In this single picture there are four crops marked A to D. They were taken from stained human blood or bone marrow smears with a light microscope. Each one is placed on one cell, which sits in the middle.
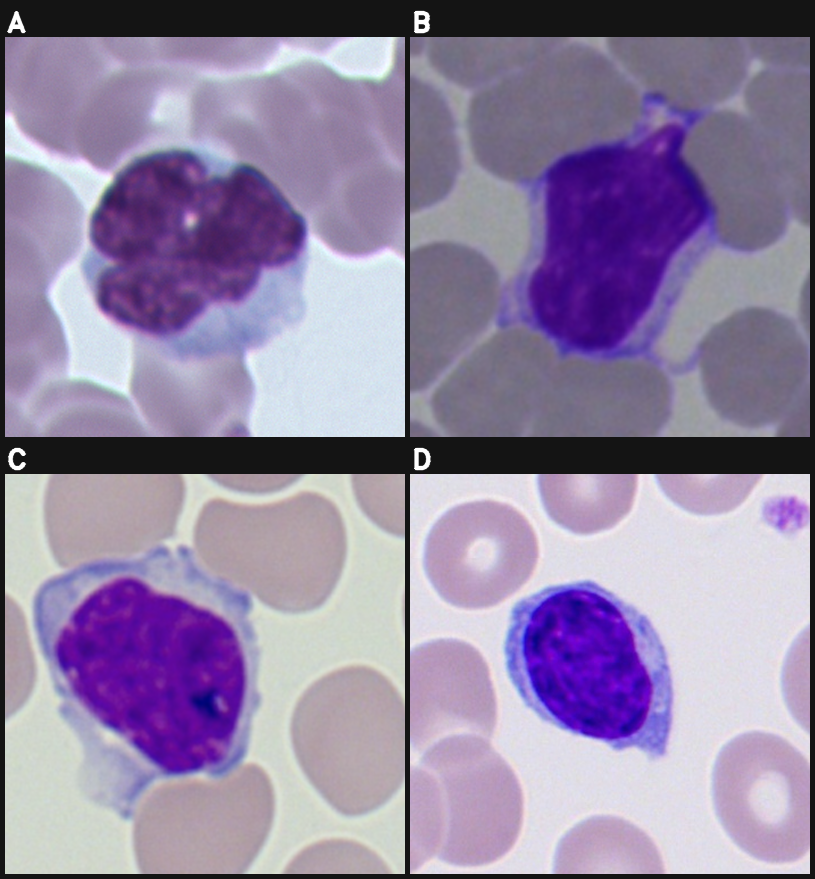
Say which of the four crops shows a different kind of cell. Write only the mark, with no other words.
A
